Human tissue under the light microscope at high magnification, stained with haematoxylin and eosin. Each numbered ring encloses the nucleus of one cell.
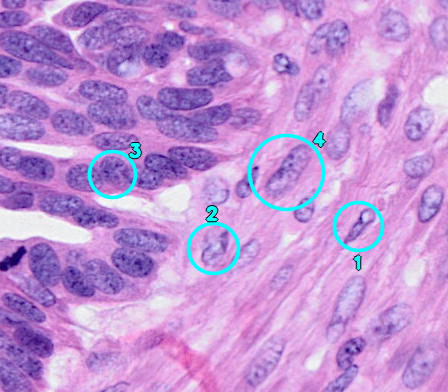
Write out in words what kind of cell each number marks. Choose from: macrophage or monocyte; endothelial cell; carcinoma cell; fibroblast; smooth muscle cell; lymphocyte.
Cells 1, 2 and 4 are fibroblasts. Cell 3 is a carcinoma cell.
